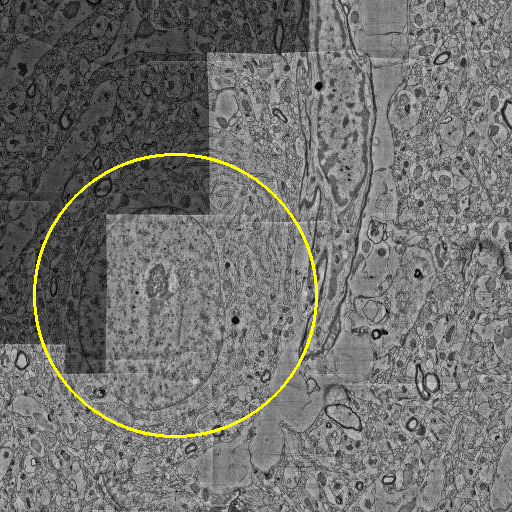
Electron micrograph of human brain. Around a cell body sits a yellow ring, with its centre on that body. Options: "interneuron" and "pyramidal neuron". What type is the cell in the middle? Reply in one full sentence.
The cell sitting at the centre of the yellow ring is an interneuron.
